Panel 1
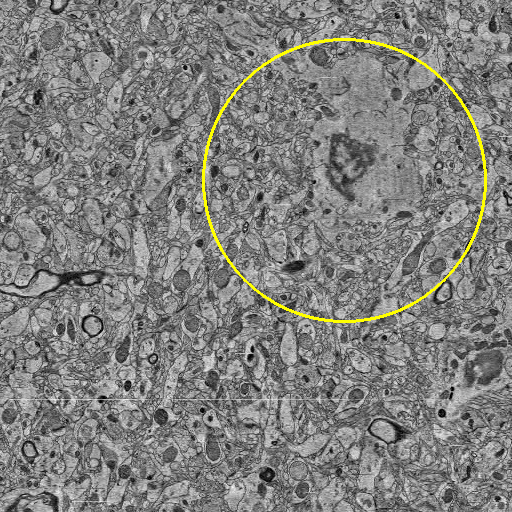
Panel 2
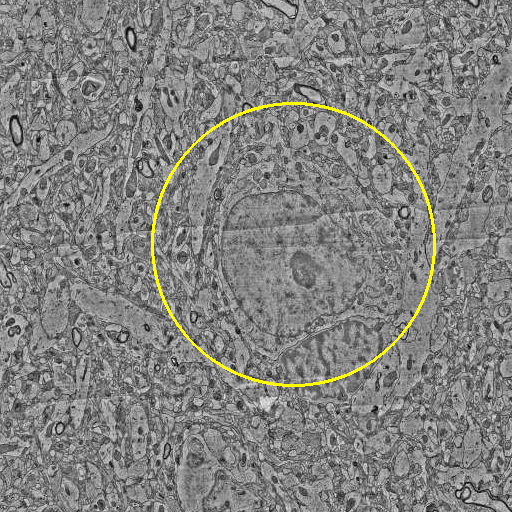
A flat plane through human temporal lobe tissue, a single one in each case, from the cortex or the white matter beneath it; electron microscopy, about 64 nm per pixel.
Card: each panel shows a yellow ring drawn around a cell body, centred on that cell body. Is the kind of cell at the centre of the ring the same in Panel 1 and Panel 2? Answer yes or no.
no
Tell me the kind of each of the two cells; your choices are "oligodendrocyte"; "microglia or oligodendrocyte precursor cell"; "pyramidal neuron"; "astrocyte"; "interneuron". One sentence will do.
The ringed cell is an astrocyte in the first picture and an interneuron in the second picture.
